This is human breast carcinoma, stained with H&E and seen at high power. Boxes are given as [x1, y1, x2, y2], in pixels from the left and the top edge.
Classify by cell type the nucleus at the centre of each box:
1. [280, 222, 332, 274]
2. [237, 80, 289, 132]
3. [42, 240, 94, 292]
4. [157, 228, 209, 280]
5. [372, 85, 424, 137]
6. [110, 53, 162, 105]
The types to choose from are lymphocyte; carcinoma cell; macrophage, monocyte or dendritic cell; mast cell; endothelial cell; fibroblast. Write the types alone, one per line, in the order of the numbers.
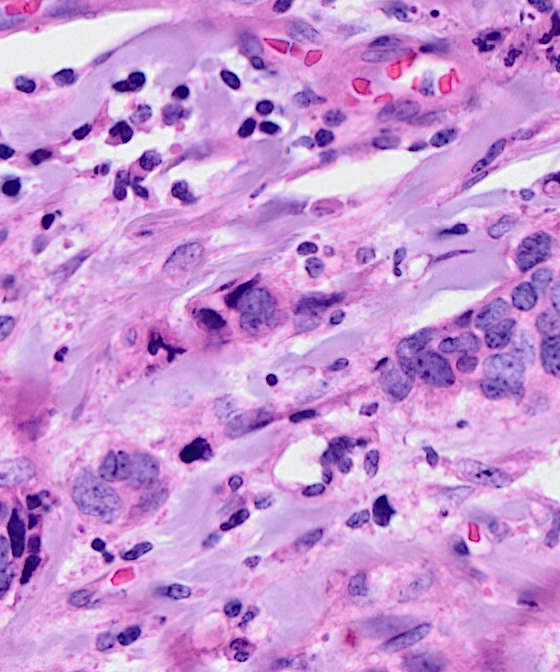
lymphocyte
lymphocyte
fibroblast
fibroblast
endothelial cell
lymphocyte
